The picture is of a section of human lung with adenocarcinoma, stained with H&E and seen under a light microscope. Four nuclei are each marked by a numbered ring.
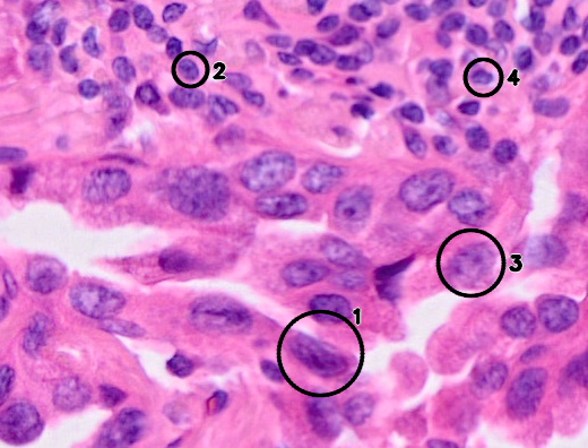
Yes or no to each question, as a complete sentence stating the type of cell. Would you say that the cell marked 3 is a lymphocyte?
No, the cell that carries number 3 is a carcinoma cell, not a lymphocyte.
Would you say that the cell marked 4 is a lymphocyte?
Yes, the cell shown as number 4 is a lymphocyte.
